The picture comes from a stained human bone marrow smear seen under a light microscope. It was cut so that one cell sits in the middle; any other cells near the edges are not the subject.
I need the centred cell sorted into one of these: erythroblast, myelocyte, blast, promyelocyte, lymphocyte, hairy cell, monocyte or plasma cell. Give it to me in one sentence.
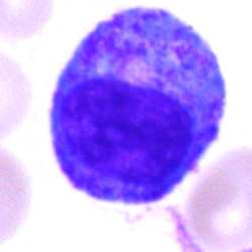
The identification for the central cell is a promyelocyte.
